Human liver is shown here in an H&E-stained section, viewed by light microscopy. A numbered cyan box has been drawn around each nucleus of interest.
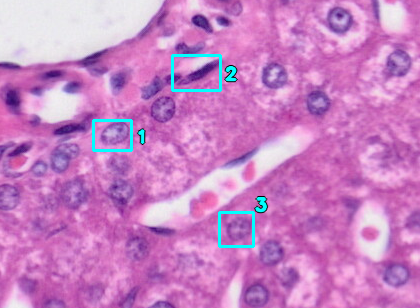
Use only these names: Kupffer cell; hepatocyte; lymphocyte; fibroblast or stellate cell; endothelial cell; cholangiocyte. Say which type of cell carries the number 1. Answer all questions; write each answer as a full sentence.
In this section, the cell tagged 1 is a cholangiocyte.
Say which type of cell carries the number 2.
The cell marked with the number 2 is a fibroblast or stellate cell.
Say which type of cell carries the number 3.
Heads up, the cell numbered 3 is a hepatocyte.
